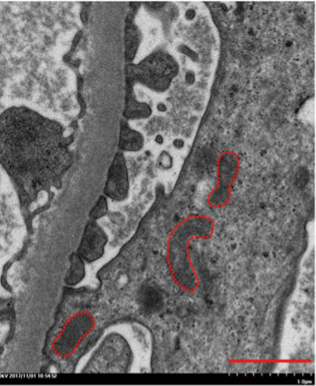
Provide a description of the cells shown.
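A thick, evenly grey glomerular basement membrane crosses the field diagonally, with small cell processes lying on its outer side and the cytoplasm of a podocyte beyond them. Within that cytoplasm, a few dark organelles are traced by red dotted lines; they are long and narrow, one bent into a curved sausage shape. These are elongated mitochondria lying singly in a finely granular cytoplasm.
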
